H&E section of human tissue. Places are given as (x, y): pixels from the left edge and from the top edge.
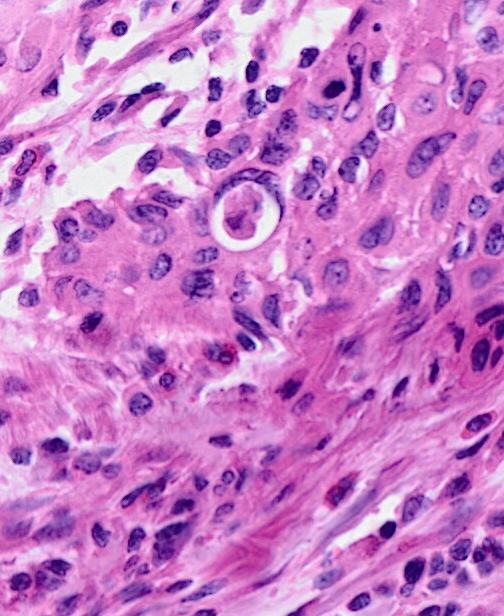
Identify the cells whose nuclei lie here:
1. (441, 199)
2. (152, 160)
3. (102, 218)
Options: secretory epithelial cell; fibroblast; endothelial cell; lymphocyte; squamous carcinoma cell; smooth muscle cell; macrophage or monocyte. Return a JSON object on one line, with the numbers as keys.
{"1": "squamous carcinoma cell", "2": "macrophage or monocyte", "3": "squamous carcinoma cell"}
